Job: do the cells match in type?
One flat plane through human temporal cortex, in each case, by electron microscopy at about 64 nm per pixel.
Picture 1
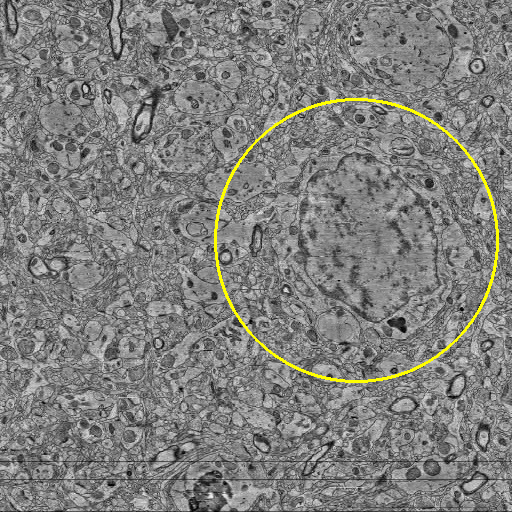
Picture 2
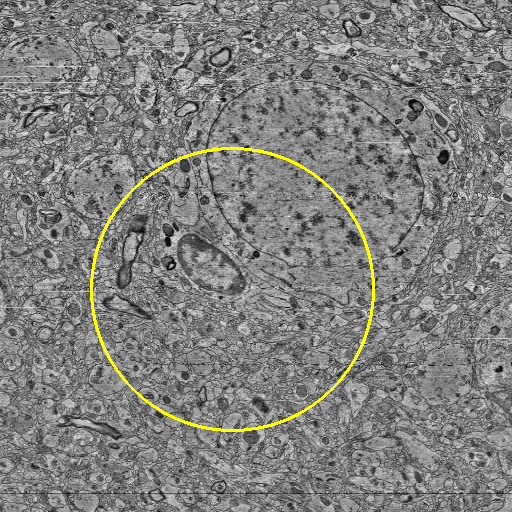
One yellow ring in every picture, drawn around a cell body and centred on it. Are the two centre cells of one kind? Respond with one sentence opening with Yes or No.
No, the ringed cells in the two pictures are of two separate kinds.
